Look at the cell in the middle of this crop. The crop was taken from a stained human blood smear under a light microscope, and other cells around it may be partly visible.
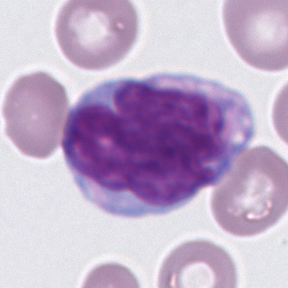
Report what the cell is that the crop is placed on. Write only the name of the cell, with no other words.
atypical promyelocyte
